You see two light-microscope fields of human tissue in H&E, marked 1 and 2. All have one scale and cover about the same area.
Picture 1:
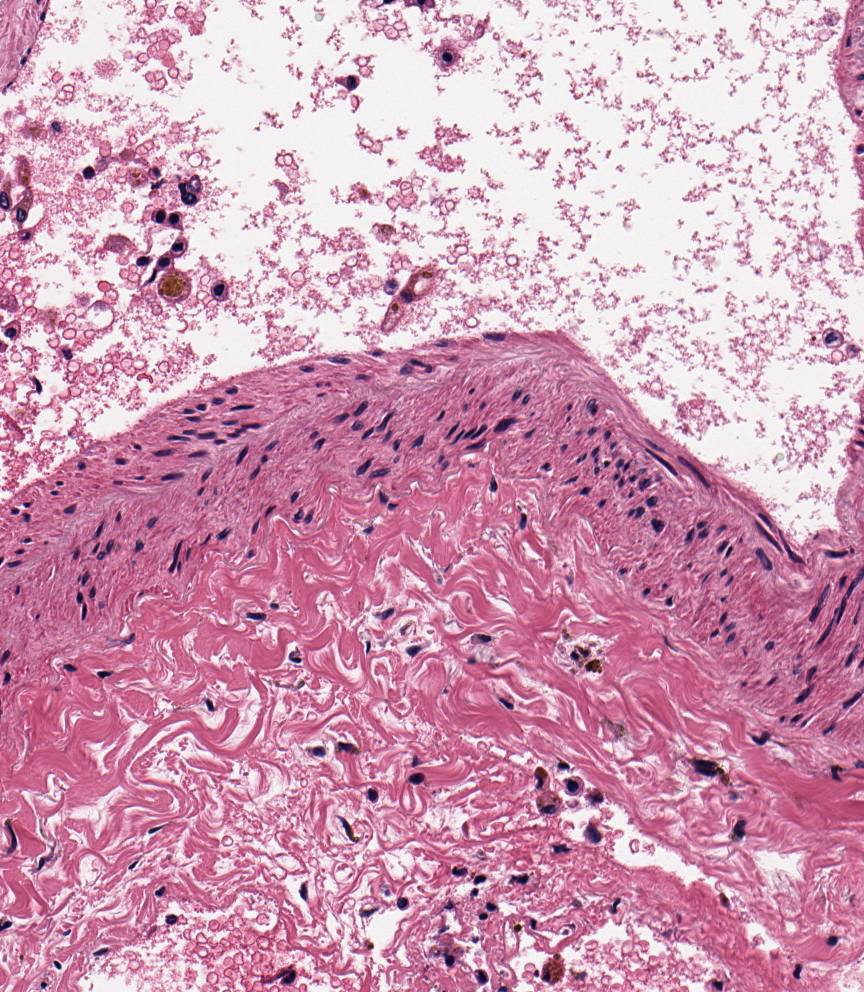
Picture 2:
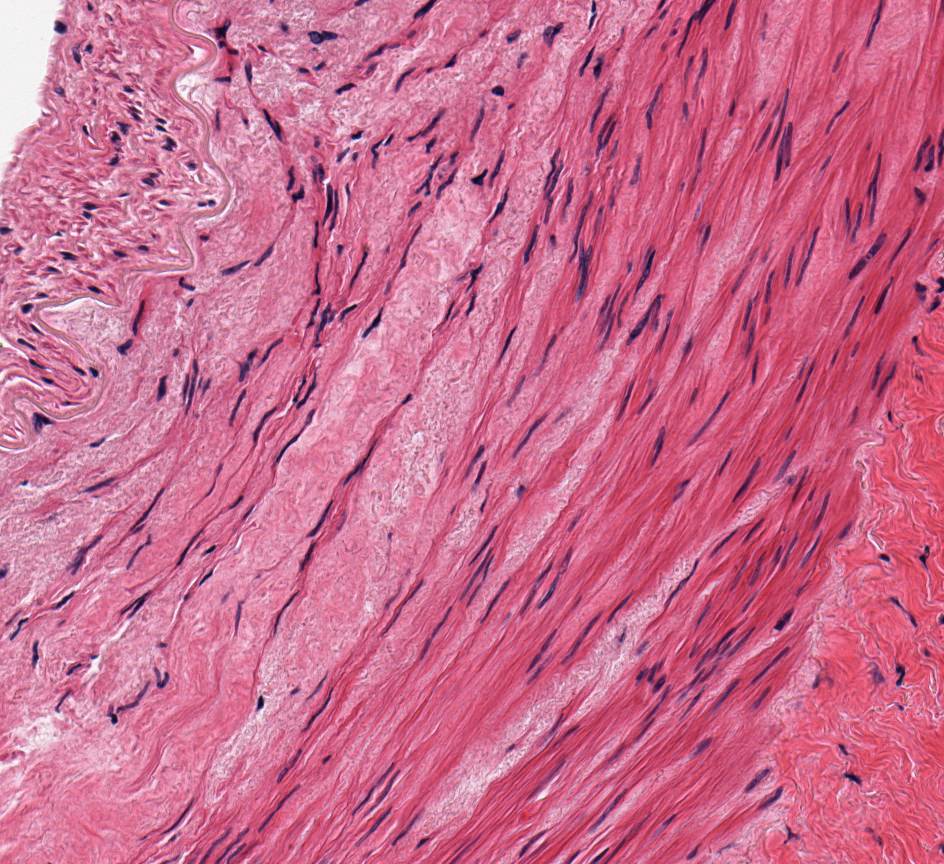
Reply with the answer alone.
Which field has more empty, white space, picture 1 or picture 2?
1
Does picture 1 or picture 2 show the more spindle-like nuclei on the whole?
2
